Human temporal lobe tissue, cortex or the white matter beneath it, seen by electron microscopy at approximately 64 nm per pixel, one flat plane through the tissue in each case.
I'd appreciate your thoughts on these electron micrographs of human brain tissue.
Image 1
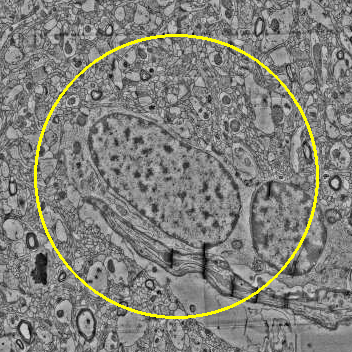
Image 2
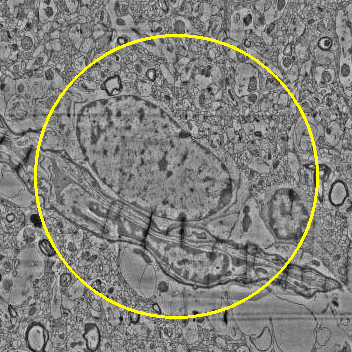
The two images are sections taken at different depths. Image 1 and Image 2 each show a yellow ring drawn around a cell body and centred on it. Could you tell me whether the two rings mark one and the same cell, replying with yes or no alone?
yes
